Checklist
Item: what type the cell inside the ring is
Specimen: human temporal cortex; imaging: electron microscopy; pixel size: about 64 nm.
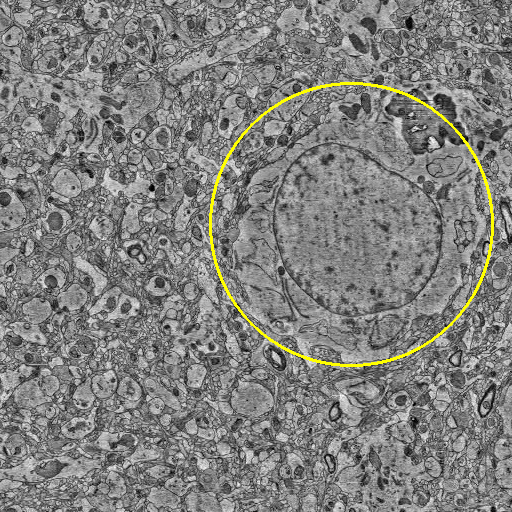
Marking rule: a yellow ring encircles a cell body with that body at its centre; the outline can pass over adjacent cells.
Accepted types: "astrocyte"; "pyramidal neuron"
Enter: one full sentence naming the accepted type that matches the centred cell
The entry is that an astrocyte lies at the centre of the yellow ring.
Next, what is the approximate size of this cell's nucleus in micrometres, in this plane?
The ringed cell's nucleus is about 11 micrometres across in this plane.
